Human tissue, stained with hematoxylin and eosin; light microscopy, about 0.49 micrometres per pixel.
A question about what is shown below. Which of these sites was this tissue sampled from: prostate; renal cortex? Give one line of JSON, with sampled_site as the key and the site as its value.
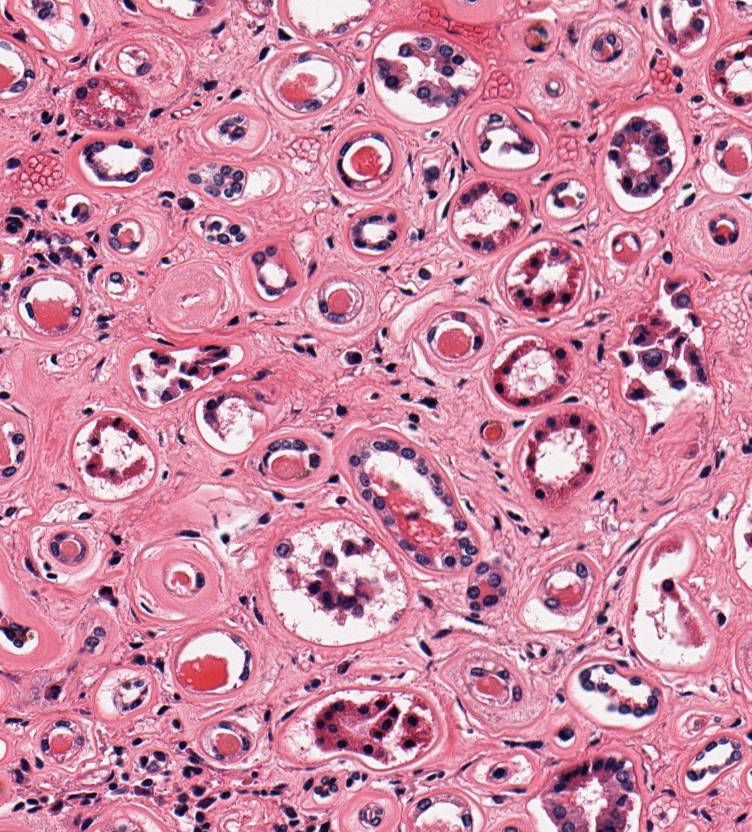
{"sampled_site": "renal cortex"}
